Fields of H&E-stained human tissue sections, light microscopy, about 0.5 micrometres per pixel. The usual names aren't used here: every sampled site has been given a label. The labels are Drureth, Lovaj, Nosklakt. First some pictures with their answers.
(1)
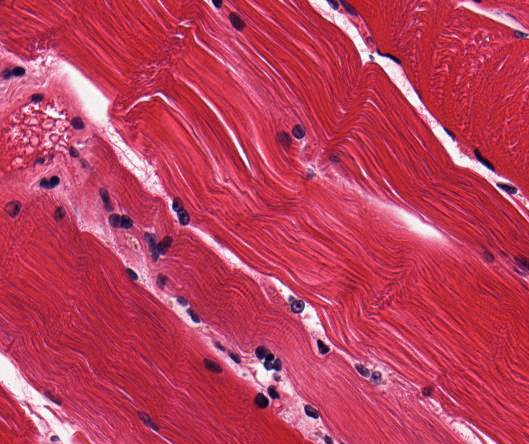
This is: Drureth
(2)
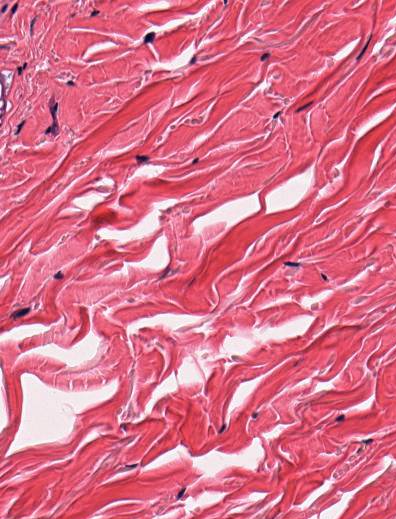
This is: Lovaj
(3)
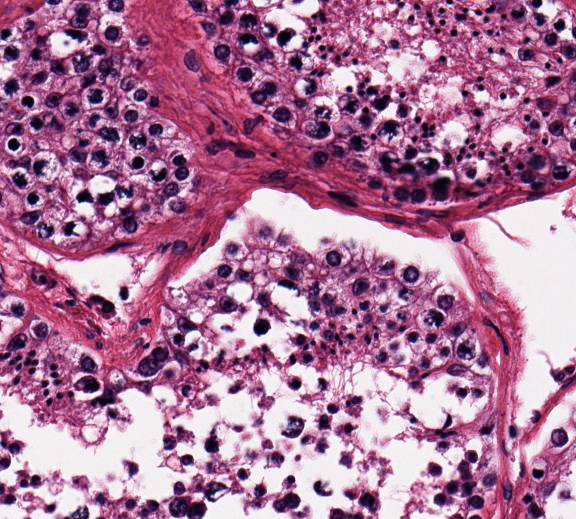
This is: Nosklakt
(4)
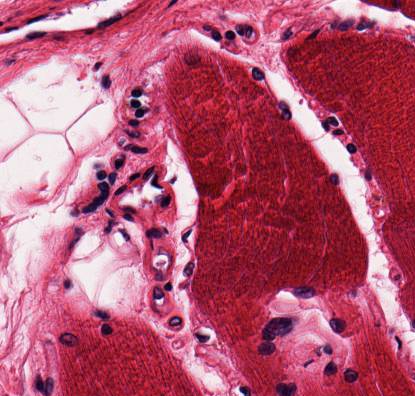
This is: Drureth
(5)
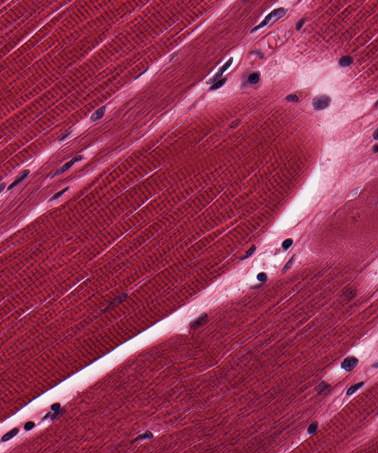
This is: Drureth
